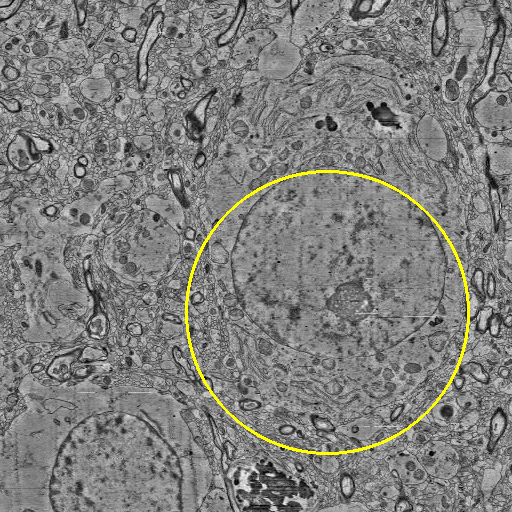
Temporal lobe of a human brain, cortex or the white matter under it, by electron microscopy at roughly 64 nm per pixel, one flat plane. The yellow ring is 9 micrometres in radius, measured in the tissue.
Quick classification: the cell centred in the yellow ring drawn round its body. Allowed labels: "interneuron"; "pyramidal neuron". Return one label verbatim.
interneuron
